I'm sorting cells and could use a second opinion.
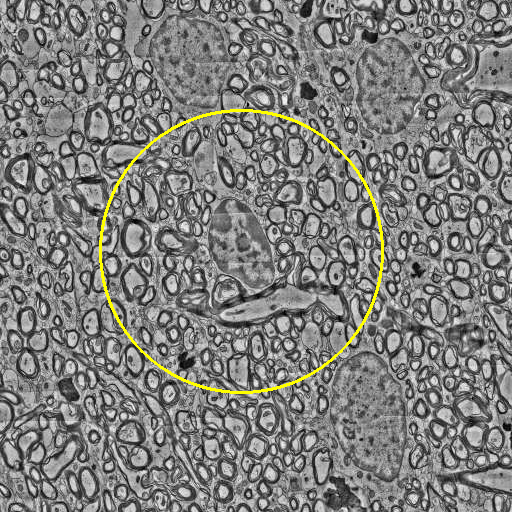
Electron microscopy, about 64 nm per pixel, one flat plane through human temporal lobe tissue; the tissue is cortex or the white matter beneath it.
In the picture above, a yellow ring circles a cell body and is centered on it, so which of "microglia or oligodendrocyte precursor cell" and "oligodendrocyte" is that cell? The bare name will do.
microglia or oligodendrocyte precursor cell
